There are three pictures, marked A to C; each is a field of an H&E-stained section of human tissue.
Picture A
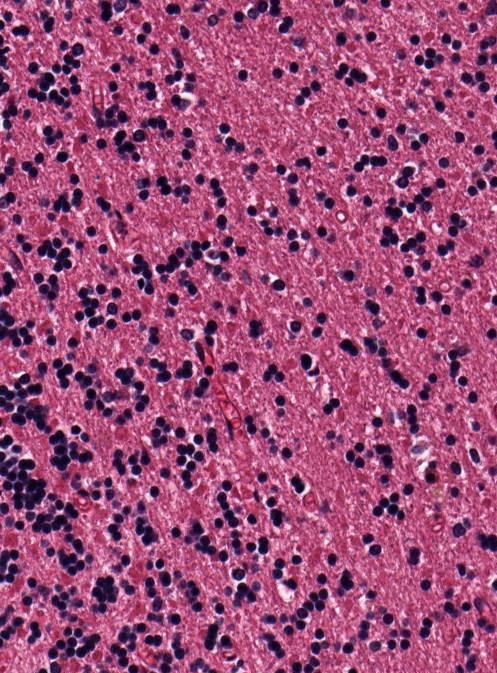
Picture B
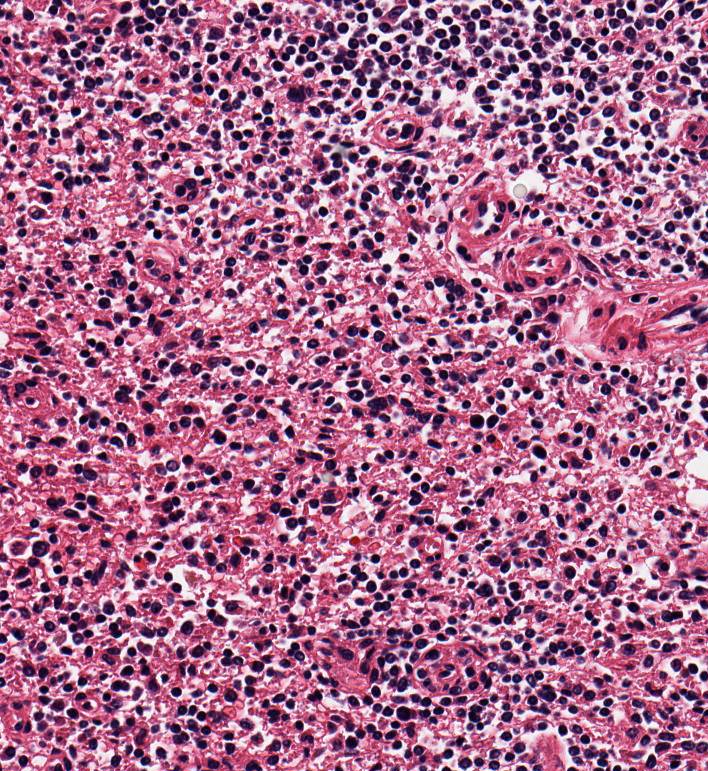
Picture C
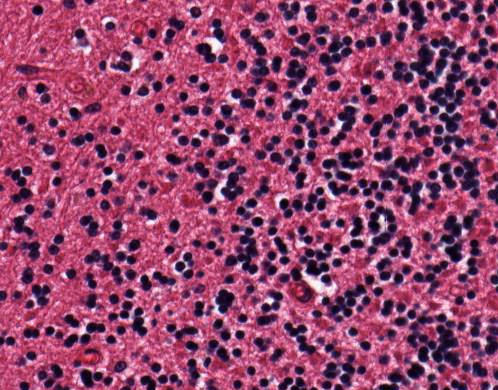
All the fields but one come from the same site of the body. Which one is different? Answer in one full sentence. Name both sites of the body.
All pictures except B come from the cerebellum; picture B comes from the spleen.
